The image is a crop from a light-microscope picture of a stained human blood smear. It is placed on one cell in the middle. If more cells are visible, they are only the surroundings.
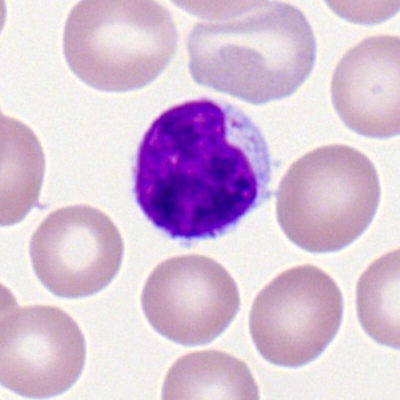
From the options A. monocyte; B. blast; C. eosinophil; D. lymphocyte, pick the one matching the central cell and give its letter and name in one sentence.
The cell placed in the middle is a lymphocyte; option D is correct.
